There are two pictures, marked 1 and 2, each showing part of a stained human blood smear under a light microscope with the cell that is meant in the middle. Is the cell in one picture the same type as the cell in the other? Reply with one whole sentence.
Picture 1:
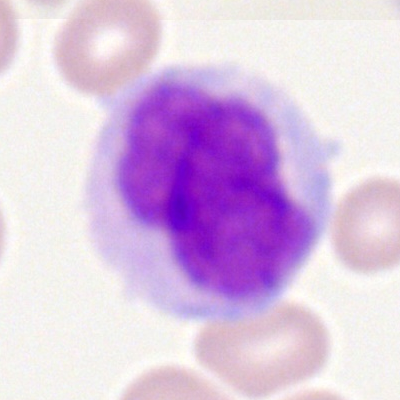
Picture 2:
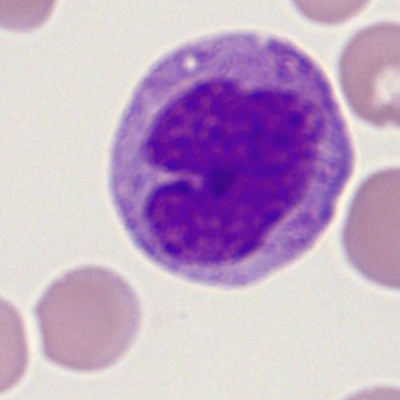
Yes, the two pictures both show monocytes.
